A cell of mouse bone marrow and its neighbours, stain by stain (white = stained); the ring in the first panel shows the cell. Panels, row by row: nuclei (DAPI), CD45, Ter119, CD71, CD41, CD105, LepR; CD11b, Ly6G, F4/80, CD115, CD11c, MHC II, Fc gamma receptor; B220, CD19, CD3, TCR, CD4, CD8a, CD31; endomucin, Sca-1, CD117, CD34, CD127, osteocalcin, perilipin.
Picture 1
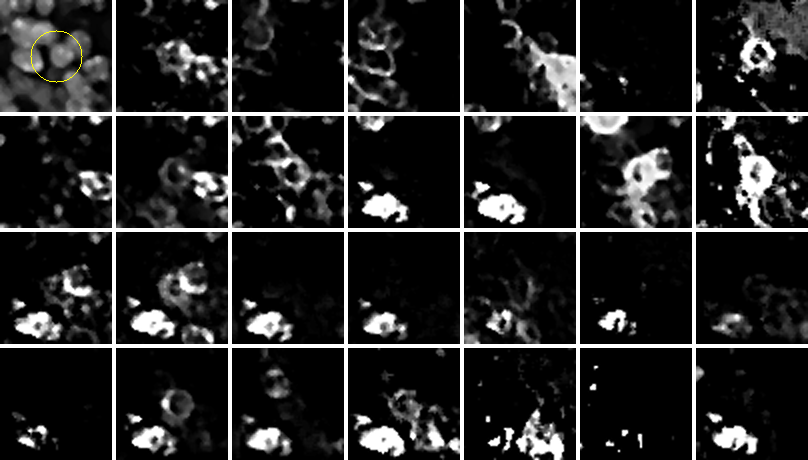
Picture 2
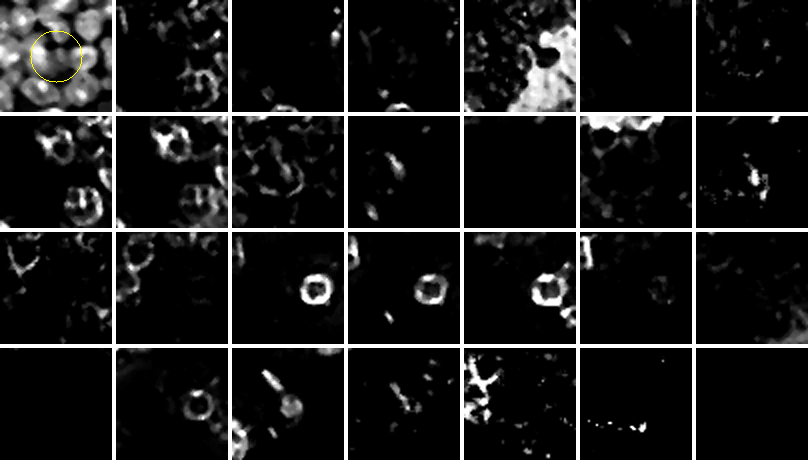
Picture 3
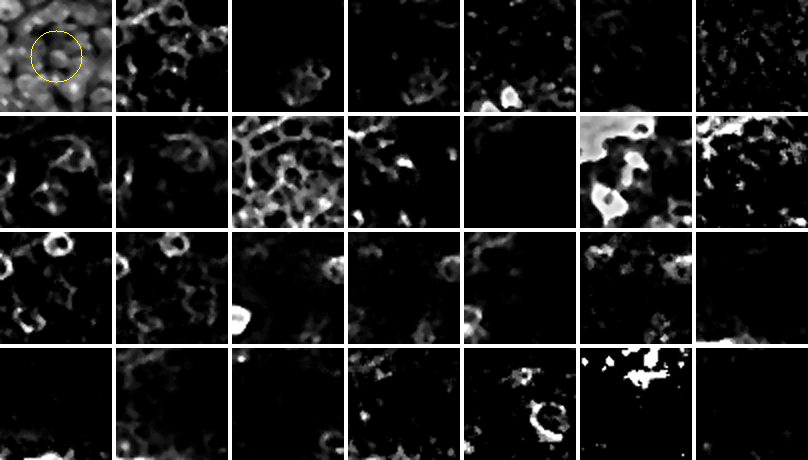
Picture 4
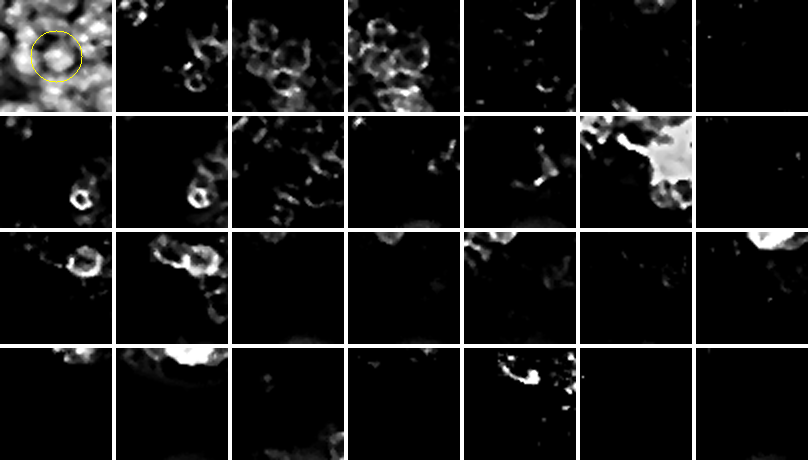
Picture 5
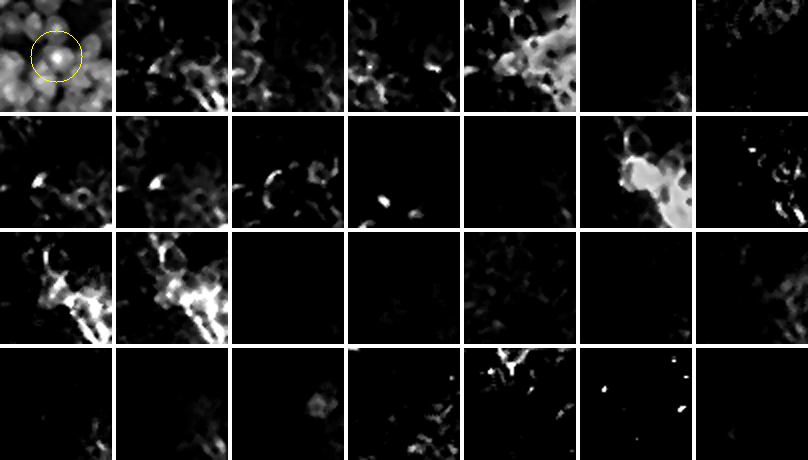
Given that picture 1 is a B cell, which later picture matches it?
5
